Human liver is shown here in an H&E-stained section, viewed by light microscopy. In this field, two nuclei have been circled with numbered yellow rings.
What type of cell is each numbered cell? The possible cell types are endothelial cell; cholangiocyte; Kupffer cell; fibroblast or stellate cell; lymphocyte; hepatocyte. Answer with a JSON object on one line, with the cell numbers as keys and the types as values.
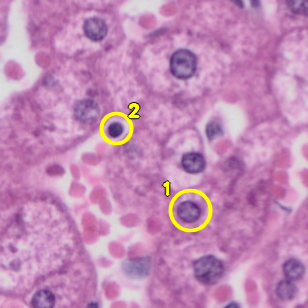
{"1": "hepatocyte", "2": "lymphocyte"}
